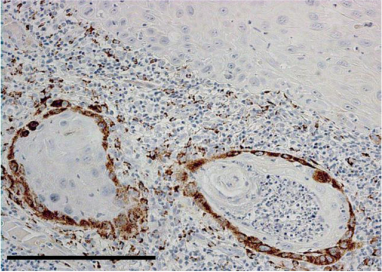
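This shows two rounded islands of invading squamous carcinoma cut across, lying in a stroma crowded with small blue nuclei. In each island the outermost layer of cells, at the rim against the stroma, is stained brown, forming a dark ring, while the cells further in are pale with unstained cytoplasm. The right island holds a concentric whorl of flattened cells in its centre, and its interior also contains many small dark nuclei. Above, a stretch of surface epithelium with pale, large cells remains unstained. The pattern to notice is staining confined to the periphery of the islands.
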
